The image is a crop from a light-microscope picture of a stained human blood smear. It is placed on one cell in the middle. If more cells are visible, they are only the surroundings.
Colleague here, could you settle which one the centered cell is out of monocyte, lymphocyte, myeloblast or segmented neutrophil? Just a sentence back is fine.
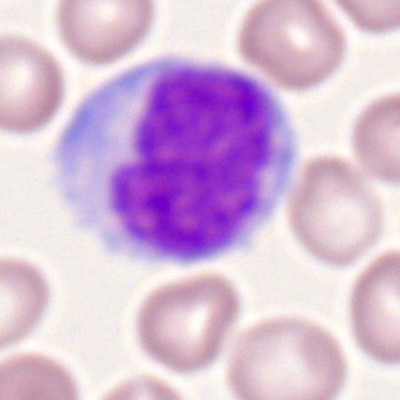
The cell around which this crop is centred is a monocyte.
